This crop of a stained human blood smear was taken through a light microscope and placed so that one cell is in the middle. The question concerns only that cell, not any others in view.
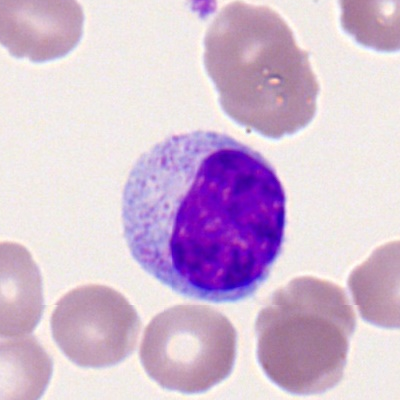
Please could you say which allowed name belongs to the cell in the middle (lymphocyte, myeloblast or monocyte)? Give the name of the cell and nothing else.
lymphocyte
